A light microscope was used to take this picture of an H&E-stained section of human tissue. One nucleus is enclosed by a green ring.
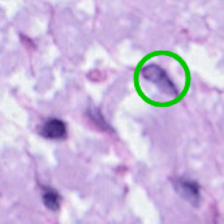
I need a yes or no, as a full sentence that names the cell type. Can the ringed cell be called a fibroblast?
Yes, it is as a fibroblast that the ringed cell is classified.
